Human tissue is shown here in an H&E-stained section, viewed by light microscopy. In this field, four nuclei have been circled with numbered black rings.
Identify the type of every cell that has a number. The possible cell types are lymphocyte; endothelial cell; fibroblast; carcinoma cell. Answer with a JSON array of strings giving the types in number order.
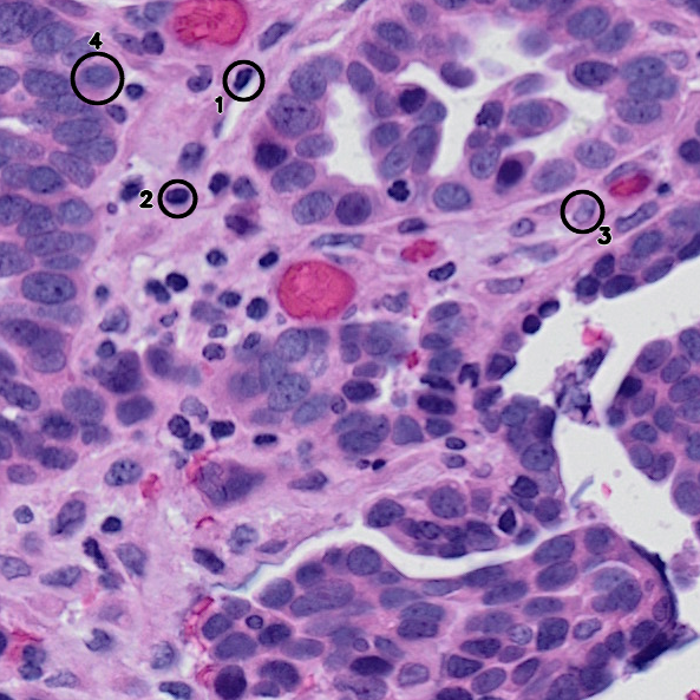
["lymphocyte", "lymphocyte", "fibroblast", "carcinoma cell"]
